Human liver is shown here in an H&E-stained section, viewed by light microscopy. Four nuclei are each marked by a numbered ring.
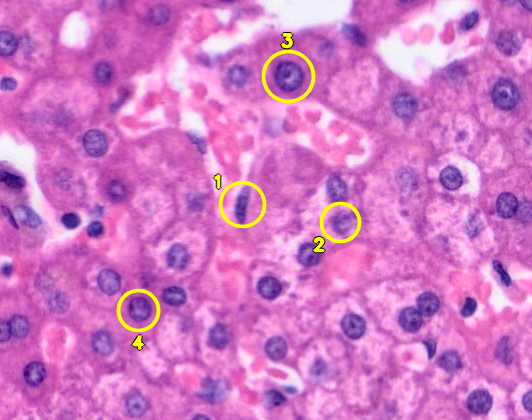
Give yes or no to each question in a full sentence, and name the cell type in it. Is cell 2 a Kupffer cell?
No, the cell numbered 2 is a hepatocyte rather than a Kupffer cell.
